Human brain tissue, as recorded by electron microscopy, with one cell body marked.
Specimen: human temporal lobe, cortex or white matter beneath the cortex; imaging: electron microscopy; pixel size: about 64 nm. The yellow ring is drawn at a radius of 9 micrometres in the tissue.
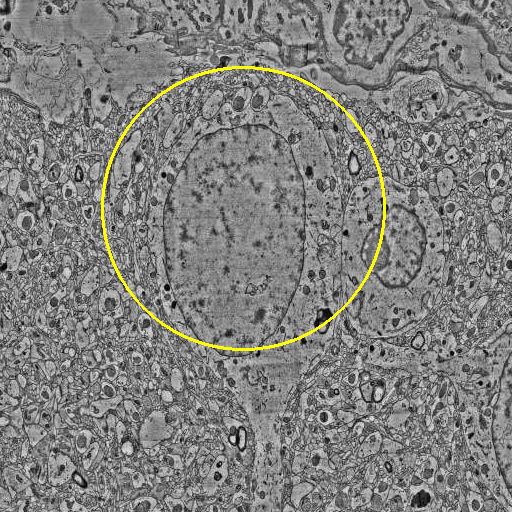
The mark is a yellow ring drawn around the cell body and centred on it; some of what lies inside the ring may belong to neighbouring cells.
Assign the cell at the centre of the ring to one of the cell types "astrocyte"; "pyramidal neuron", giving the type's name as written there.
pyramidal neuron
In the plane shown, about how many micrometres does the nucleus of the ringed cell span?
Roughly 15 micrometres by 9 micrometres, so the nucleus is clearly longer than it is wide in this plane.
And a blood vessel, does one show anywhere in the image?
Yes, a blood vessel can be seen.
